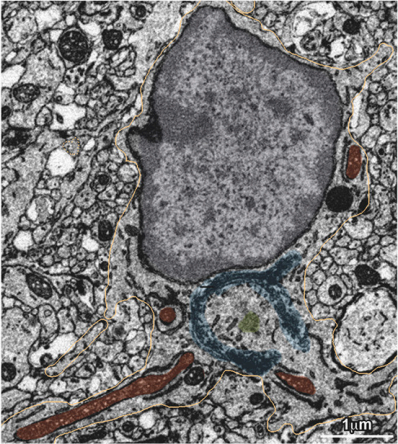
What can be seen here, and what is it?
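This electron micrograph shows the cell body of a microglia cell, outlined in gold, lying among densely packed profiles of surrounding neuropil. A large, irregularly shaped nucleus with an indented outline and darker chromatin along its envelope occupies most of the cell body. Below the nucleus a curved, horseshoe-shaped Golgi apparatus wraps around a small central spot that marks the centrioles. Several mitochondria, some round and some long rods, are scattered through the thin rim of cytoplasm and into the processes. Thin cell processes extend from the cell body toward the lower part of the field.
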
